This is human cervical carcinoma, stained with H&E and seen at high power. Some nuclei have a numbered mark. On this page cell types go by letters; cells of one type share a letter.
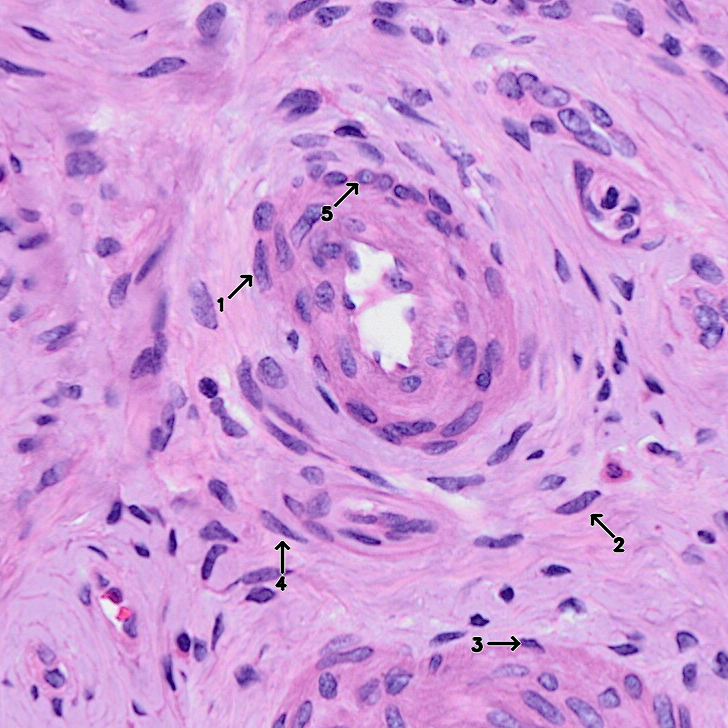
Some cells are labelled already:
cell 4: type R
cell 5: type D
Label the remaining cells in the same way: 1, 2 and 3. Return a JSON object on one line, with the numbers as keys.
{"1": "type D", "2": "type R", "3": "type D"}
